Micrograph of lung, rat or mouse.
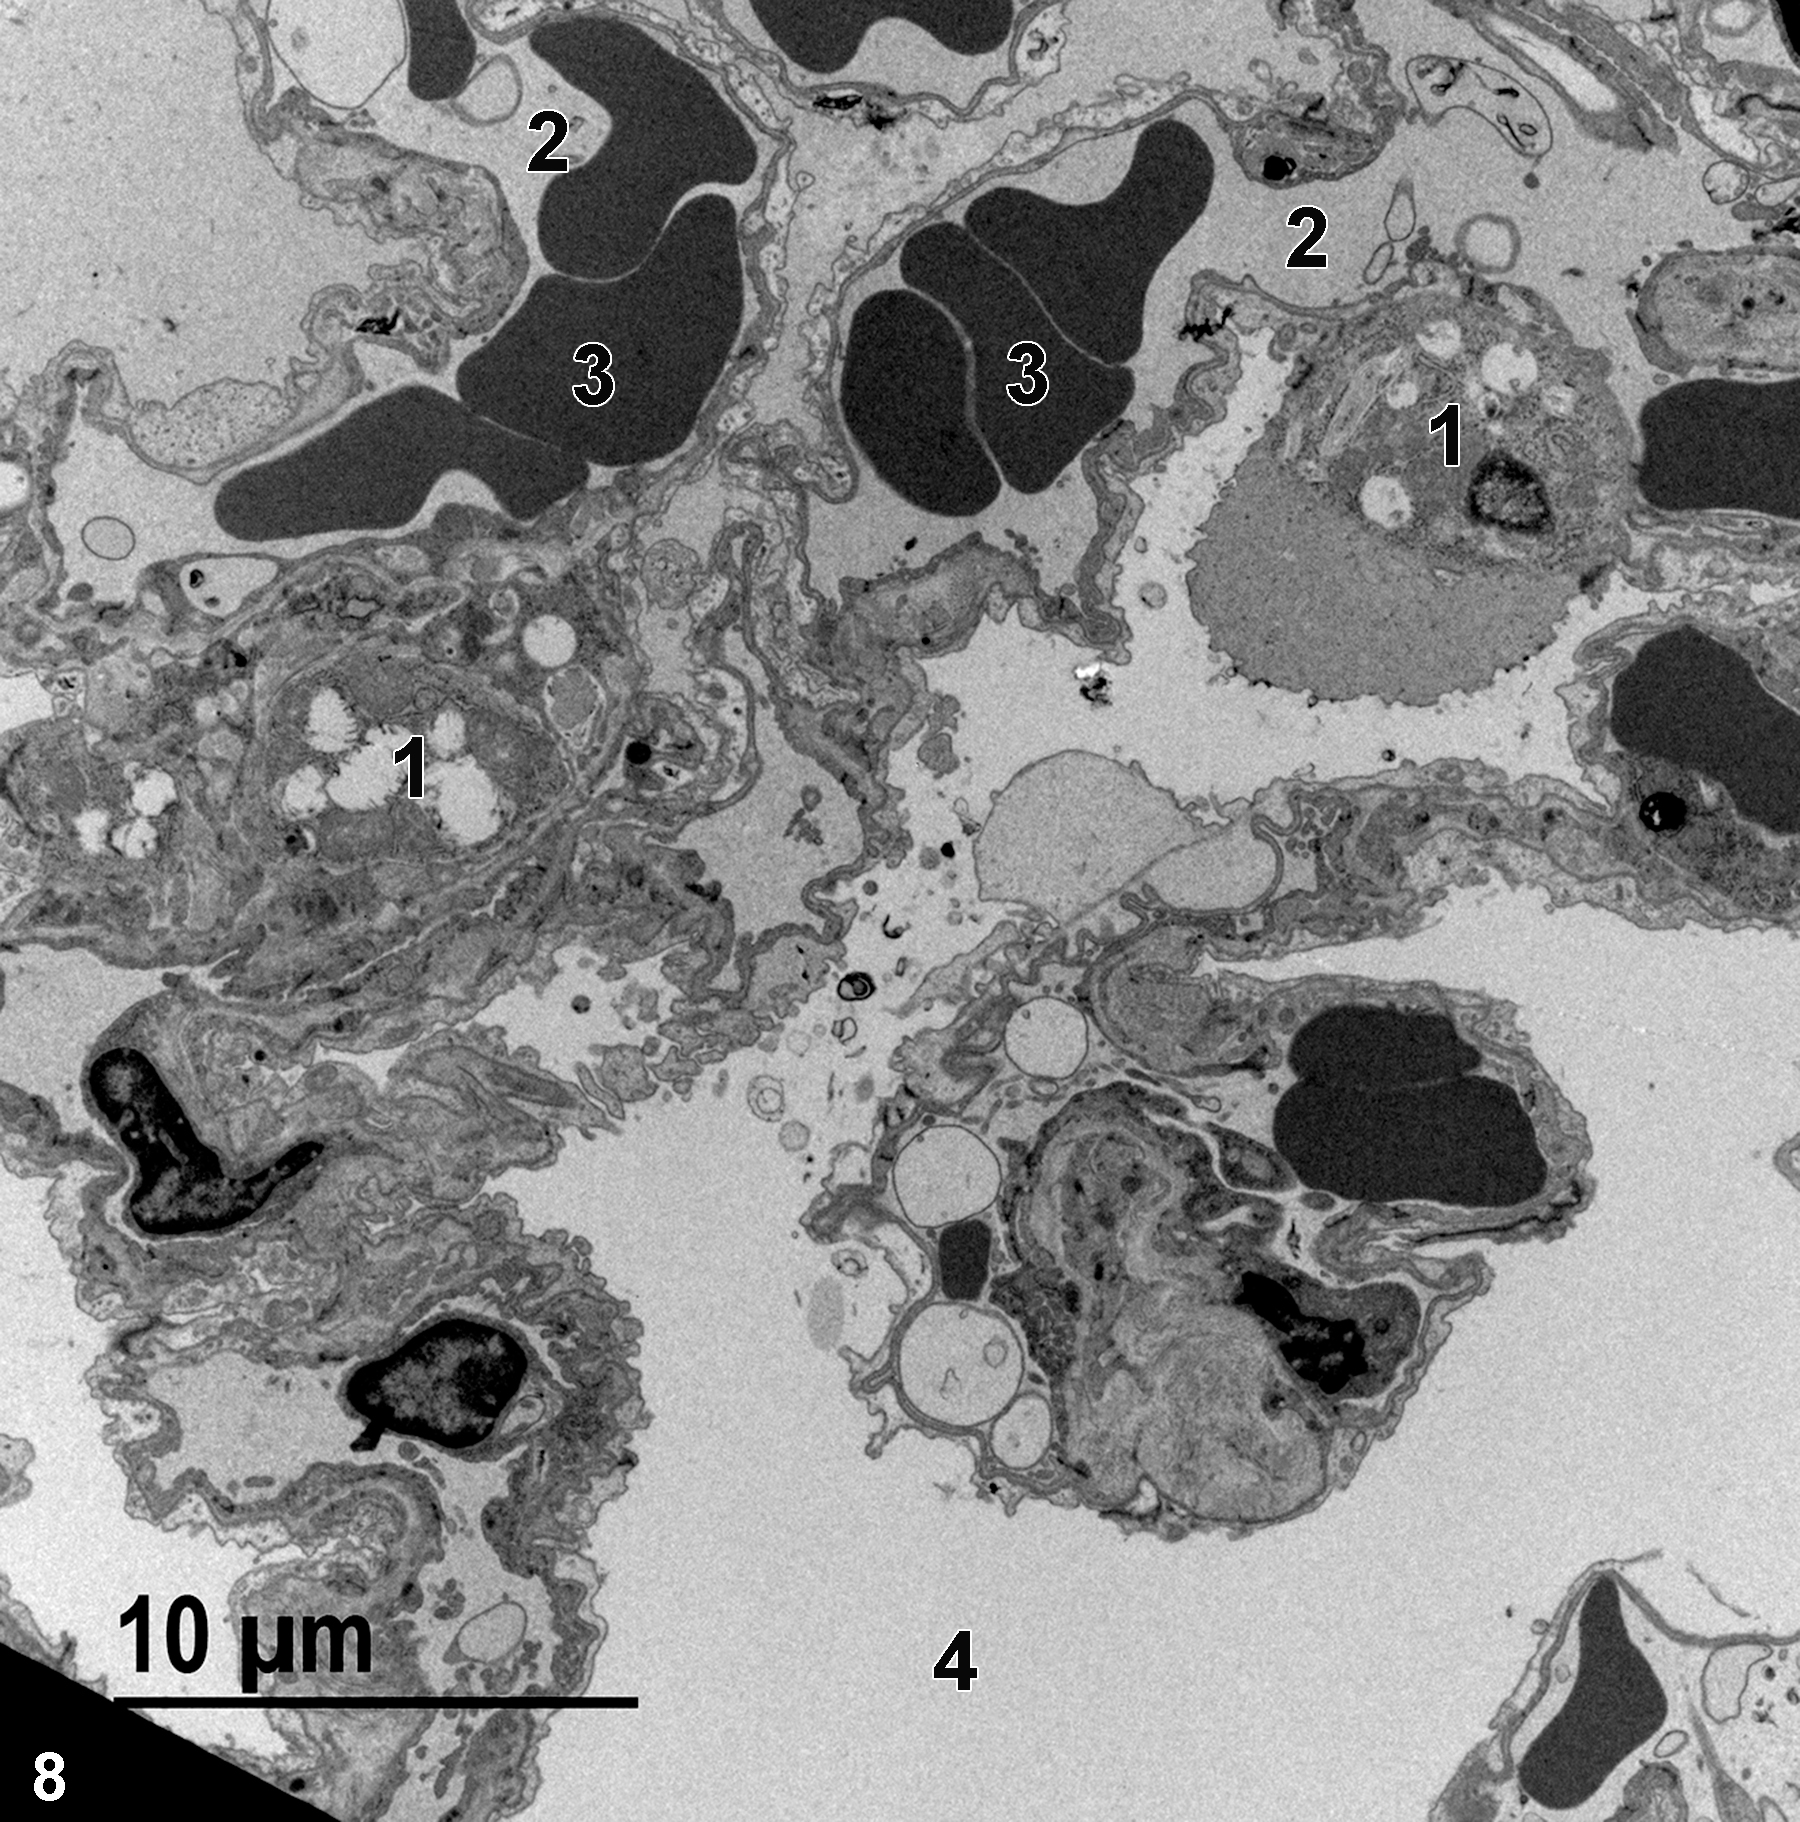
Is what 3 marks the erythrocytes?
Yes, 3 marks the erythrocytes.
